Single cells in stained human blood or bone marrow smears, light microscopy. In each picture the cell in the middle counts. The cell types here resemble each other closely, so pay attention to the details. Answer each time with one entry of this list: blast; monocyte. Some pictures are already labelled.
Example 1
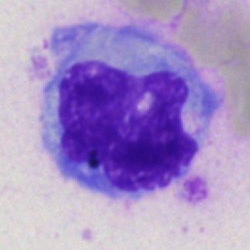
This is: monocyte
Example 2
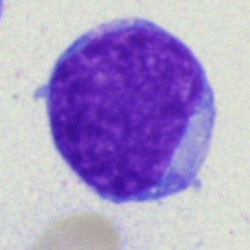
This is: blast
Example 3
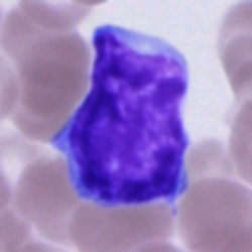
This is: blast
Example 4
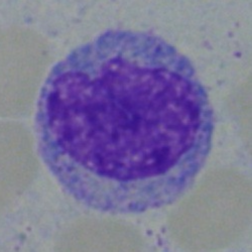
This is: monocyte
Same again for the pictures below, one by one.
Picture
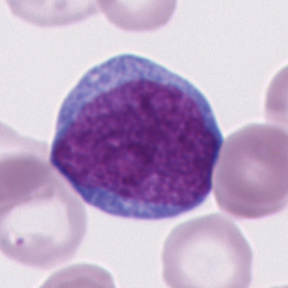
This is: blast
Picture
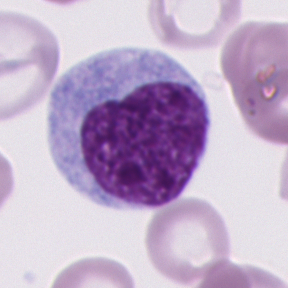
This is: monocyte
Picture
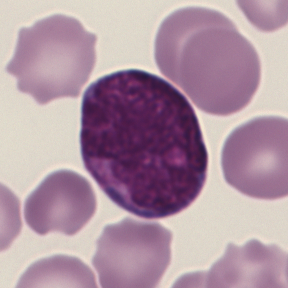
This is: blast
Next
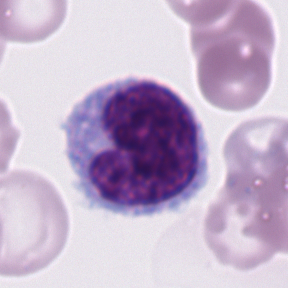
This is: monocyte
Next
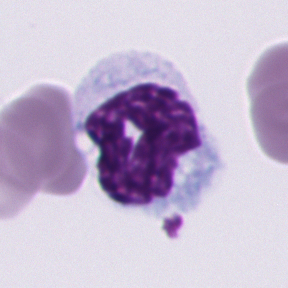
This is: monocyte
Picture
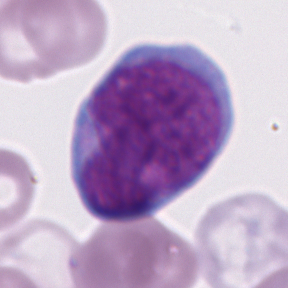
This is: blast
